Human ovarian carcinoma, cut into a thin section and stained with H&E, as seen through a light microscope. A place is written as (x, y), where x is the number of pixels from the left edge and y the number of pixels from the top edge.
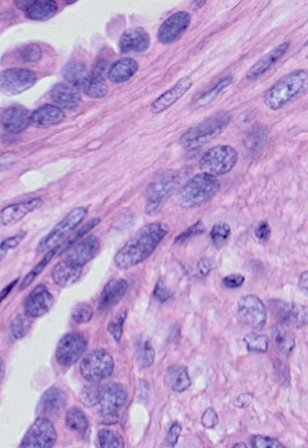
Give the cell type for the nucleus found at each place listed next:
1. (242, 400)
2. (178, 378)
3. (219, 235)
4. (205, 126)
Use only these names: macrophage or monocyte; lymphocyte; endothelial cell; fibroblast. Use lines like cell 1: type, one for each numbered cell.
cell 1: fibroblast
cell 2: fibroblast
cell 3: macrophage or monocyte
cell 4: fibroblast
